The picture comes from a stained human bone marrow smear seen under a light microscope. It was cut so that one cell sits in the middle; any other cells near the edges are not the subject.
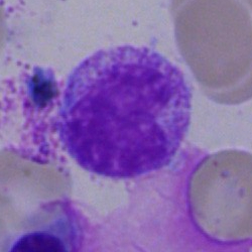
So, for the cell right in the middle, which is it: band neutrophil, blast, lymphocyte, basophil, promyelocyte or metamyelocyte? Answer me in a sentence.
The middle of this crop is occupied by a metamyelocyte.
